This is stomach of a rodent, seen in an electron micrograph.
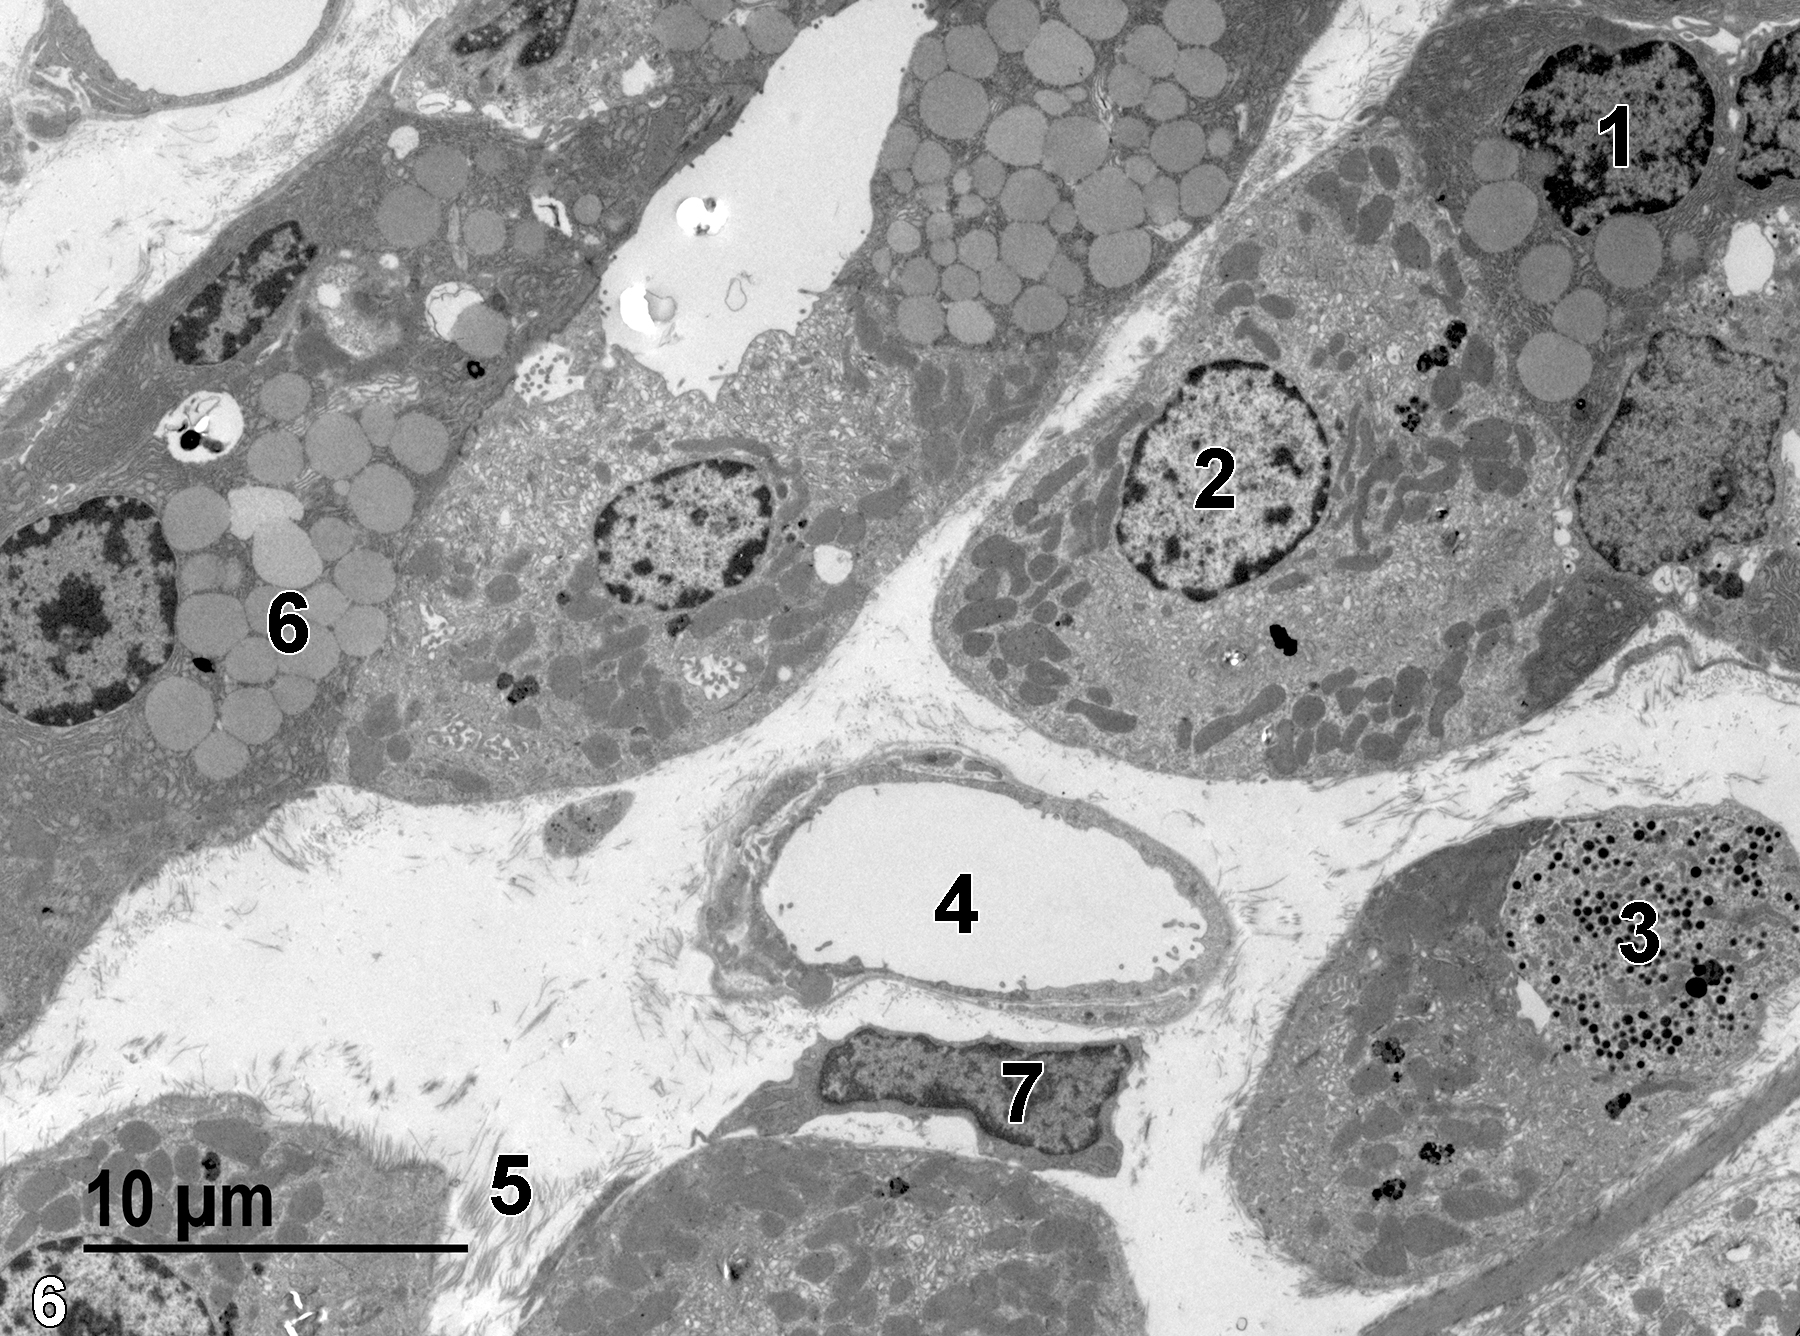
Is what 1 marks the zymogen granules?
No, it marks the chief cell nucleus; the zymogen granules are at 6.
